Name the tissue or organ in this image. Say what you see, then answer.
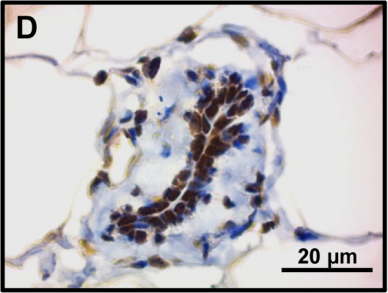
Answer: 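A small epithelial duct sits in a pale stroma. Large empty fat cells surround the duct. The answer: mammary glands.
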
